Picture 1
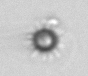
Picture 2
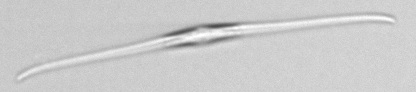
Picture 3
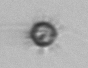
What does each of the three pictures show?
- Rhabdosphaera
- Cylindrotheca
1. Rhabdosphaera
2. Cylindrotheca
3. Rhabdosphaera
